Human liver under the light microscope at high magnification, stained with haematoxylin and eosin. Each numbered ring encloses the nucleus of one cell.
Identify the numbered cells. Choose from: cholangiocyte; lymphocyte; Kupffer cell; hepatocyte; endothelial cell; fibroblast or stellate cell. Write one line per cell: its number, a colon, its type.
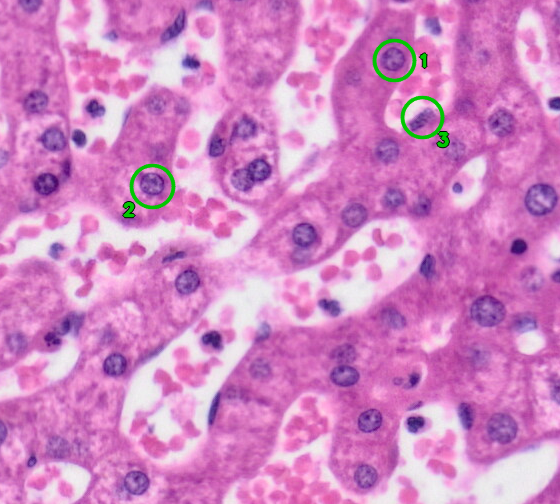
1: hepatocyte
2: hepatocyte
3: Kupffer cell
